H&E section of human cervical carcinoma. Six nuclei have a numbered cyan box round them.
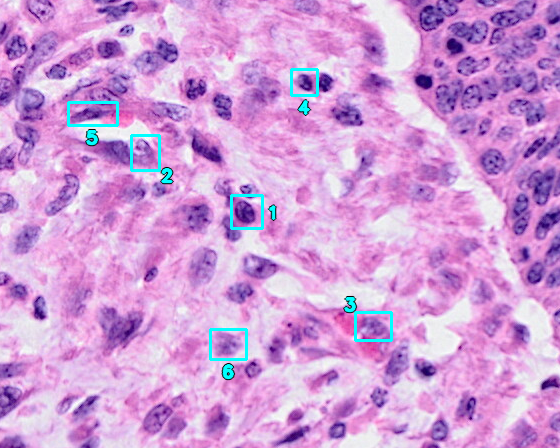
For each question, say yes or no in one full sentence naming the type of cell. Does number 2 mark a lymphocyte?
No, an endothelial cell is what cell 2 is, not a lymphocyte.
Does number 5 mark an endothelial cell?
Yes, with respect to number 5, the cell is an endothelial cell.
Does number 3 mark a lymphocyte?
No, the cell tagged 3 is an endothelial cell, and not a lymphocyte.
